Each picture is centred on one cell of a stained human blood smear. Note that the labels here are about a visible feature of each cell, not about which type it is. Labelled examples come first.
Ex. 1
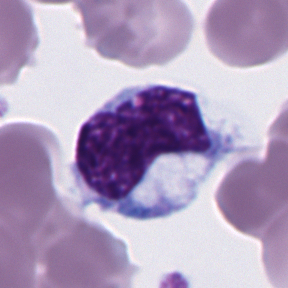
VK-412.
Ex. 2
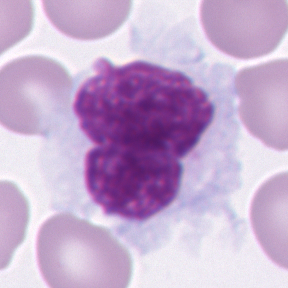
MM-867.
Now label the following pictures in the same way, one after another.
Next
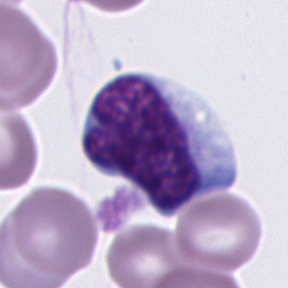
VK-412.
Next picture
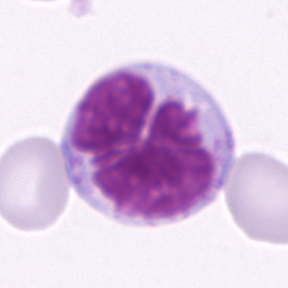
MM-867.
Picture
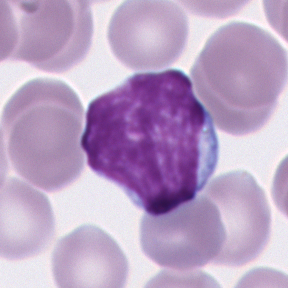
VK-412.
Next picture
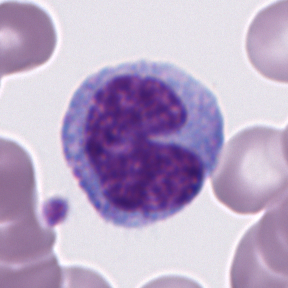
VK-412.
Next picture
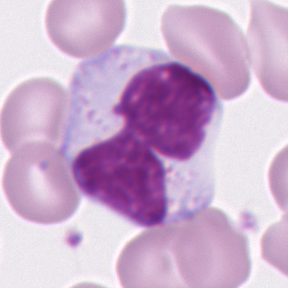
MM-867.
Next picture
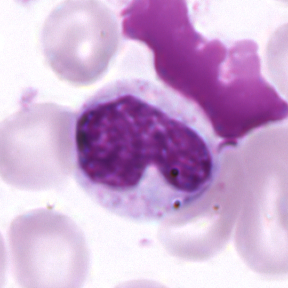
VK-412.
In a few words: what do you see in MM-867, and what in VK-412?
Seen in MM-867: lobed nucleus; seen in VK-412: single compact nucleus.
